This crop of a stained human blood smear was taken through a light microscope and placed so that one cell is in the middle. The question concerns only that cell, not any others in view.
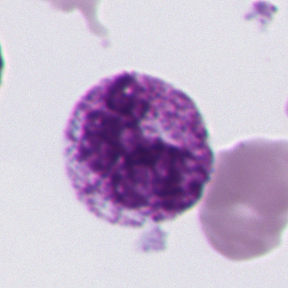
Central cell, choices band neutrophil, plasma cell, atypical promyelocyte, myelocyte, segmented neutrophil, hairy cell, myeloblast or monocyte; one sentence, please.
Present in the middle of the crop is a segmented neutrophil.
